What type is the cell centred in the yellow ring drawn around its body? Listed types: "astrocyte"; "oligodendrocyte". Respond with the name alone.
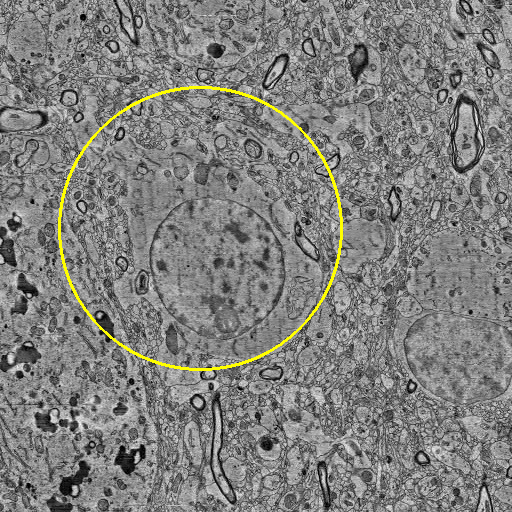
astrocyte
